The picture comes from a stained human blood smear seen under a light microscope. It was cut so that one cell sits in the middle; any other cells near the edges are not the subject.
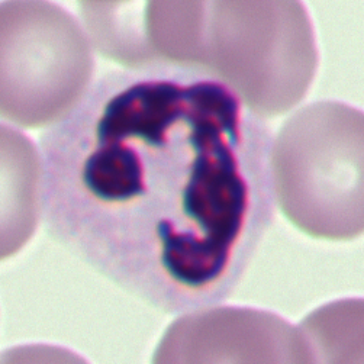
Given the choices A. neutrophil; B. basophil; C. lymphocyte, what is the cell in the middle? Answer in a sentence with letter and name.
Option A is to be chosen, as the central cell is a neutrophil.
